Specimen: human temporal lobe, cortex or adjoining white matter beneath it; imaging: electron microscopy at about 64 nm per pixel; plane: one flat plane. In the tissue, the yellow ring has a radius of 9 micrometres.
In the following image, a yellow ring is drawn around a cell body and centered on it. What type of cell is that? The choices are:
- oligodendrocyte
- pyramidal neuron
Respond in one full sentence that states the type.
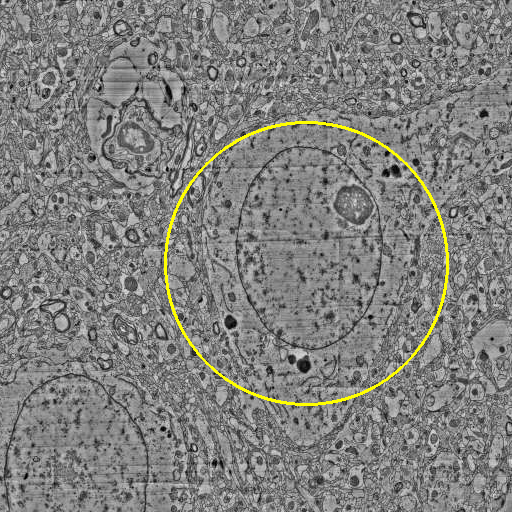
The cell at the center of the yellow ring in the image is a pyramidal neuron.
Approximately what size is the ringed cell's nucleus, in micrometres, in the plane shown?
The nucleus has a long axis of about 13 micrometres and a short axis of about 9 micrometres in this plane.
